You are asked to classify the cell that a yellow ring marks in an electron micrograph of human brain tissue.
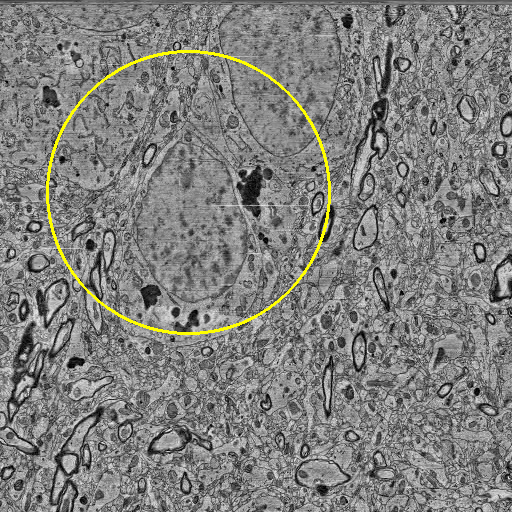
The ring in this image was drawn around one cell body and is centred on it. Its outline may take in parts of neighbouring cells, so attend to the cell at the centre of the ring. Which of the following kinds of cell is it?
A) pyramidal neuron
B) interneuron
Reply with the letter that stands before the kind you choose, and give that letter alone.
B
